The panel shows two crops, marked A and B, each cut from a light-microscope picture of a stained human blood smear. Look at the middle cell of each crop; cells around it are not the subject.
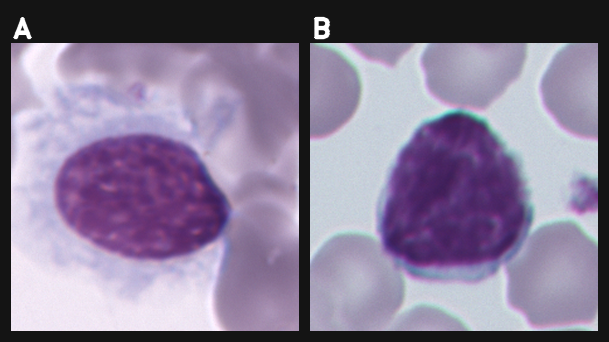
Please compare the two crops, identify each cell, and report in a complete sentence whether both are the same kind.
No, in crop B the central cell is a typical lymphocyte, and in crop A it is a hairy cell.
